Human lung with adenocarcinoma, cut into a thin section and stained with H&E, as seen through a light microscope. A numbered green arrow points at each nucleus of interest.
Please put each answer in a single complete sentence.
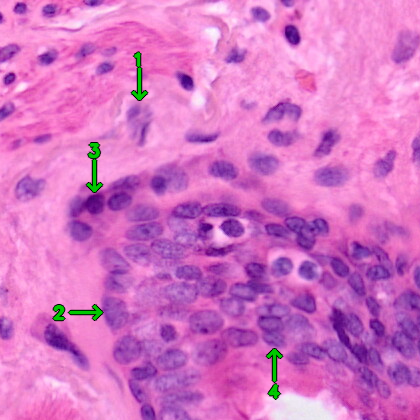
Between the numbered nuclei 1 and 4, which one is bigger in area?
The larger nucleus is 1, at roughly 2 times the area of 4.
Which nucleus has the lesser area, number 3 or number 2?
The smaller nucleus is 3, and 2 covers roughly 2 times its area.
